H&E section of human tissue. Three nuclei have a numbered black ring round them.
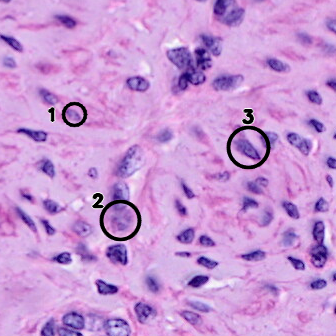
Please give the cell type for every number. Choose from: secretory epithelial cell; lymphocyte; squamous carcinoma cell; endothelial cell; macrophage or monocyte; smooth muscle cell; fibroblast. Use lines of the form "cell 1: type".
cell 1: smooth muscle cell
cell 2: endothelial cell
cell 3: smooth muscle cell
